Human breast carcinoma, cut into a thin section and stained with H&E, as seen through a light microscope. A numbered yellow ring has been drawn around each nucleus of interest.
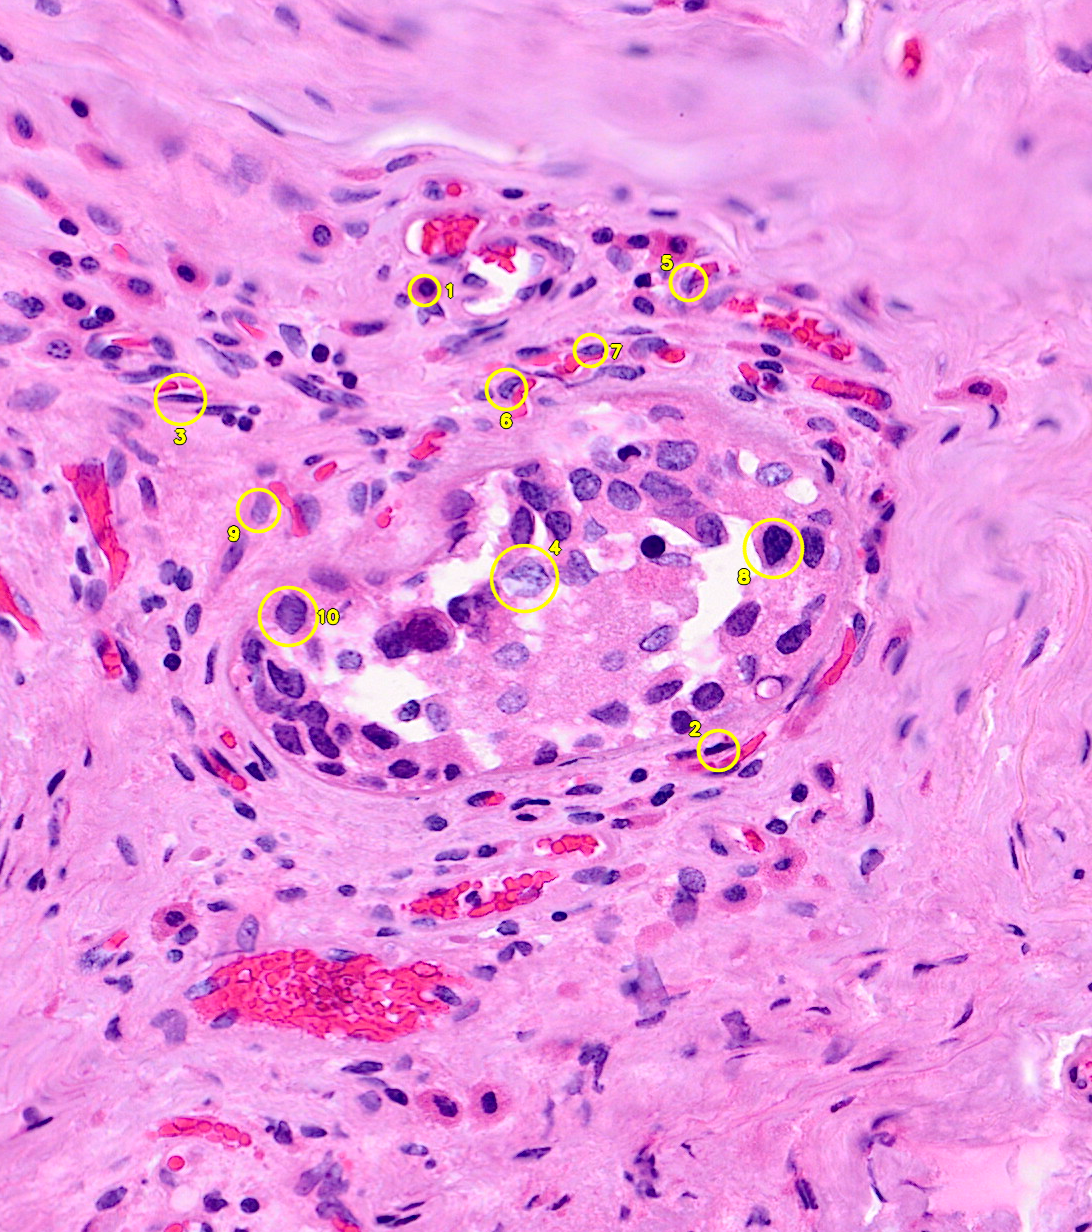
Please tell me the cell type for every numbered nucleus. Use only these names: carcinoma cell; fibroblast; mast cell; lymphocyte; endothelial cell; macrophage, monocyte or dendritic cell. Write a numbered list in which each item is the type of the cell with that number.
1. mast cell
2. endothelial cell
3. endothelial cell
4. carcinoma cell
5. endothelial cell
6. endothelial cell
7. endothelial cell
8. carcinoma cell
9. endothelial cell
10. carcinoma cell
